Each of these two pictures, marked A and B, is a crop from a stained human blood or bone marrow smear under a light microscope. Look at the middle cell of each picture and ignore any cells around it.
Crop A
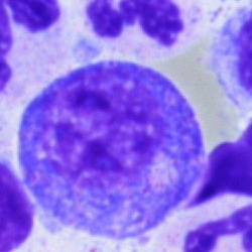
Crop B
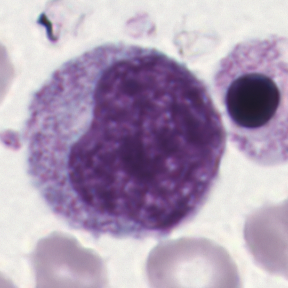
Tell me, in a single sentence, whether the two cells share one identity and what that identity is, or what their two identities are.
Yes, the cells found in the middle of both crops are promyelocytes.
